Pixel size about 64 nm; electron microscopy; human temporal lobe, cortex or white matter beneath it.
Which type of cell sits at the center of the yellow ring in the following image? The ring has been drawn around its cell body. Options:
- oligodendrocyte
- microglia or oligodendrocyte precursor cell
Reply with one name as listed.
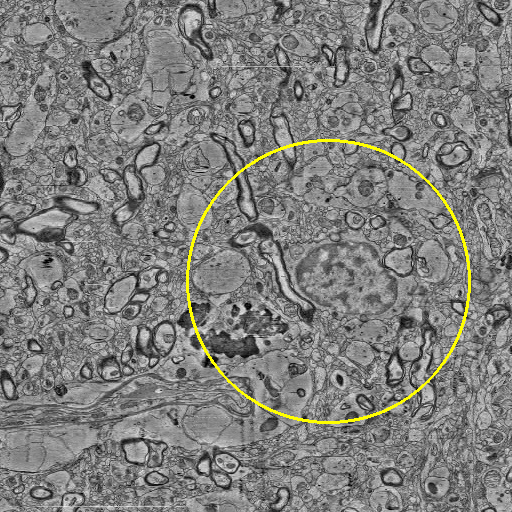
oligodendrocyte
